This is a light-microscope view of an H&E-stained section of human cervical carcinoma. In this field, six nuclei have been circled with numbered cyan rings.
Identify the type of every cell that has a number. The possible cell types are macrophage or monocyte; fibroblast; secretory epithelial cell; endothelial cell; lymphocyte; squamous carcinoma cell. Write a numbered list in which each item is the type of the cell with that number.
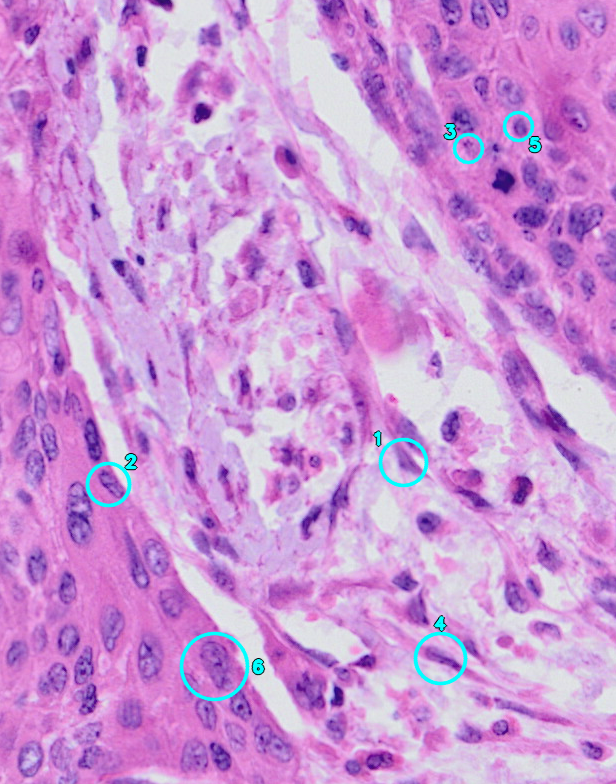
1. fibroblast
2. squamous carcinoma cell
3. squamous carcinoma cell
4. fibroblast
5. squamous carcinoma cell
6. squamous carcinoma cell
